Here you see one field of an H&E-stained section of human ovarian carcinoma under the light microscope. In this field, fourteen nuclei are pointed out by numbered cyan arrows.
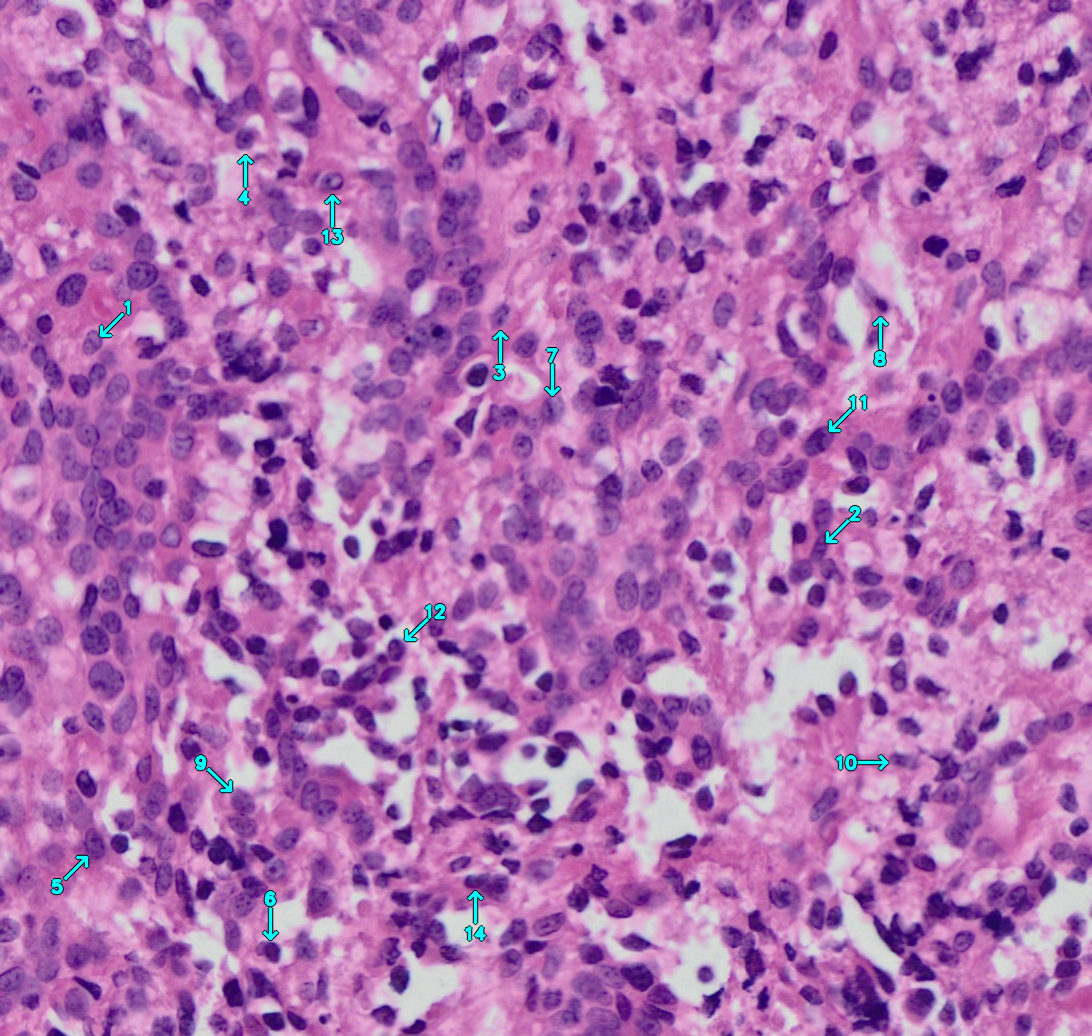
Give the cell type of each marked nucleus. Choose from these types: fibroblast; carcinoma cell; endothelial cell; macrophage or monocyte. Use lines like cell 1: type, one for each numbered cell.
cell 1: macrophage or monocyte
cell 2: carcinoma cell
cell 3: macrophage or monocyte
cell 4: macrophage or monocyte
cell 5: carcinoma cell
cell 6: carcinoma cell
cell 7: carcinoma cell
cell 8: fibroblast
cell 9: carcinoma cell
cell 10: macrophage or monocyte
cell 11: carcinoma cell
cell 12: carcinoma cell
cell 13: endothelial cell
cell 14: carcinoma cell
